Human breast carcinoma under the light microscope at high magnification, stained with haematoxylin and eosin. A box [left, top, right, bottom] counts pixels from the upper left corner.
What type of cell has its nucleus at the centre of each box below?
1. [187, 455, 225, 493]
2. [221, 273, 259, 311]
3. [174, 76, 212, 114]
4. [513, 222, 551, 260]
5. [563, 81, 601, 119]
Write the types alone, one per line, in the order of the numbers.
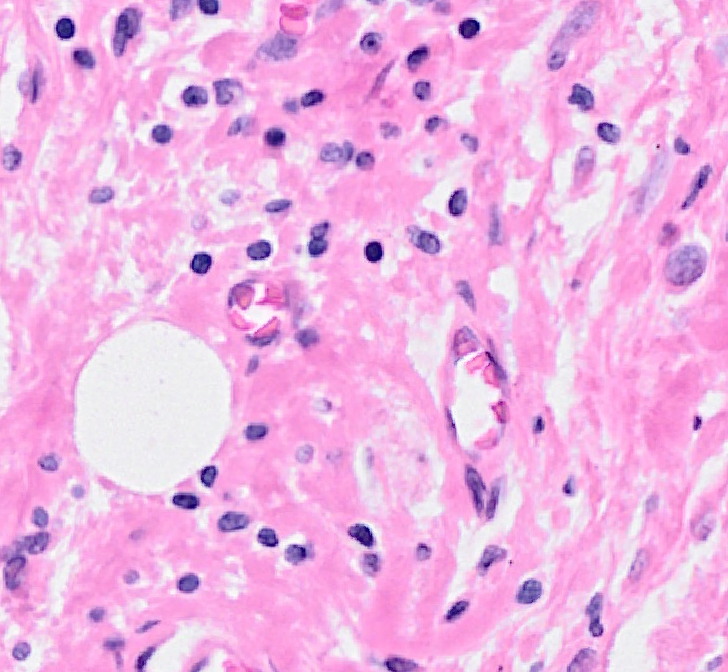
lymphocyte
endothelial cell
lymphocyte
fibroblast
lymphocyte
